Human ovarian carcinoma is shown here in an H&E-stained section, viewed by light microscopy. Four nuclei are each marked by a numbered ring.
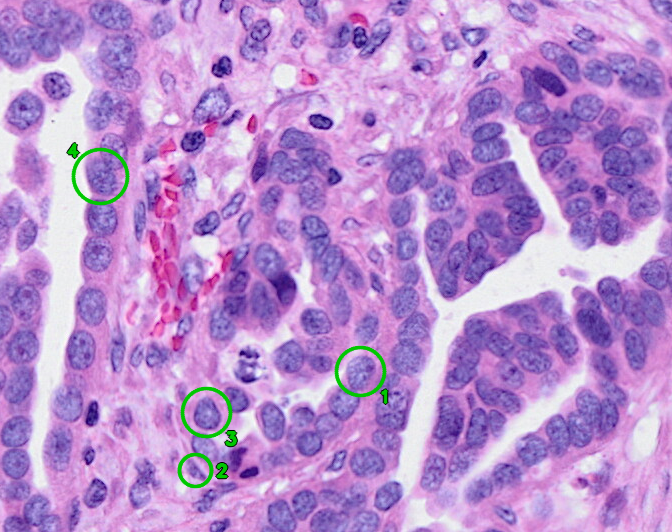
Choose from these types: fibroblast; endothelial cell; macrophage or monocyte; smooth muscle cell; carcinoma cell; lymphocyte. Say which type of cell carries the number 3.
carcinoma cell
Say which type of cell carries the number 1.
carcinoma cell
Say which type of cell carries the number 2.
fibroblast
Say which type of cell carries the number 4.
carcinoma cell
